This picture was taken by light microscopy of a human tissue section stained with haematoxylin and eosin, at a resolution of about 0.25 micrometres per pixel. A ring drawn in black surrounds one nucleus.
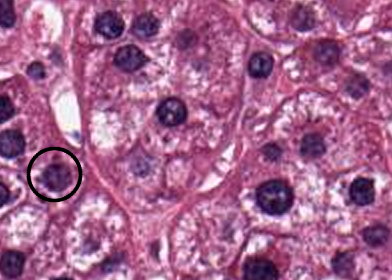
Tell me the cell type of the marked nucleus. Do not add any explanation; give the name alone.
adrenal cortical cell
